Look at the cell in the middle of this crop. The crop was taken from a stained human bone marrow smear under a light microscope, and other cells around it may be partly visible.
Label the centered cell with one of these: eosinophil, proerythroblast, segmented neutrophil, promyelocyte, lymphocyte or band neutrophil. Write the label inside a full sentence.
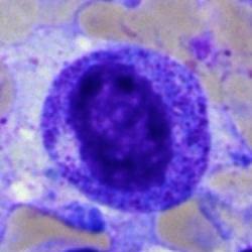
Here the cell in the middle is a promyelocyte.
